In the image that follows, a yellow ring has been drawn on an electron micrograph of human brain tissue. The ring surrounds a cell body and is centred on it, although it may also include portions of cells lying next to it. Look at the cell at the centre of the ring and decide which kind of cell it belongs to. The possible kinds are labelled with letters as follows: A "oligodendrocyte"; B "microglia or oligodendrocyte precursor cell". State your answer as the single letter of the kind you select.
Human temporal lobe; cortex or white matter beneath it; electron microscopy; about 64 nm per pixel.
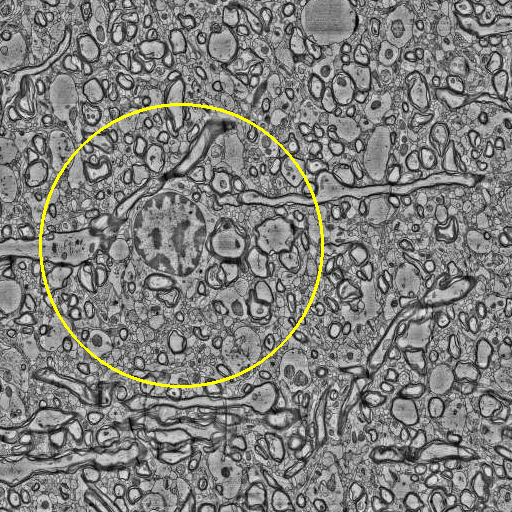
B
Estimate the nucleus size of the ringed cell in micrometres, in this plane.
The nucleus measures about 5 by 4 micrometres in this plane.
